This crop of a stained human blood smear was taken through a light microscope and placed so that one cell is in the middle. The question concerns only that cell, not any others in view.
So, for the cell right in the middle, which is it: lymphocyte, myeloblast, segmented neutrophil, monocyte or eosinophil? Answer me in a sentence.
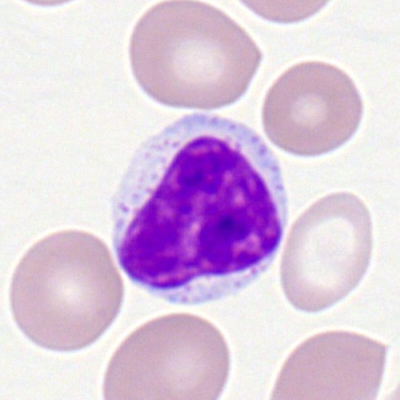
The central cell in this smear crop is a lymphocyte.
